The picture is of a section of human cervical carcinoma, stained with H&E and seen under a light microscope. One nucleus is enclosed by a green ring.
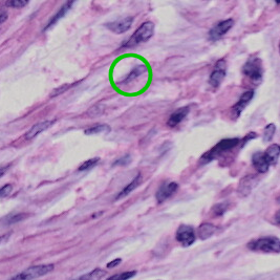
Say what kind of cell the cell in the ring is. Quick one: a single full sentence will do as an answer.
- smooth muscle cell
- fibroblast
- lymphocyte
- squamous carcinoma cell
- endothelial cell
Placed in its cell category, the cell in the ring is a fibroblast.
